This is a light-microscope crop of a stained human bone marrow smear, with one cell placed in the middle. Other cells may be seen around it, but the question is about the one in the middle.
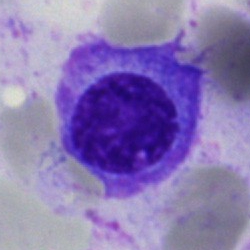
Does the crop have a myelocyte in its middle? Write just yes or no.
no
